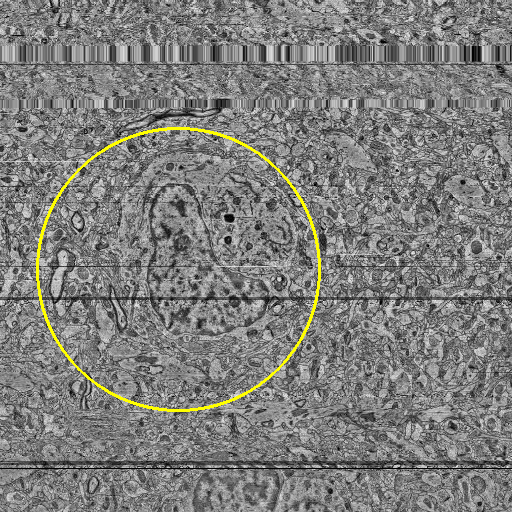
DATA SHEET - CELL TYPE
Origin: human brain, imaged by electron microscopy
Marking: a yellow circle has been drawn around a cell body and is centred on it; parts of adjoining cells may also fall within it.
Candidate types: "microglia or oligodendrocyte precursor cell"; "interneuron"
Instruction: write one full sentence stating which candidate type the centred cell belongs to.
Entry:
The cell body at the centre of the yellow ring in this micrograph belongs to a microglial cell or oligodendrocyte precursor cell.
